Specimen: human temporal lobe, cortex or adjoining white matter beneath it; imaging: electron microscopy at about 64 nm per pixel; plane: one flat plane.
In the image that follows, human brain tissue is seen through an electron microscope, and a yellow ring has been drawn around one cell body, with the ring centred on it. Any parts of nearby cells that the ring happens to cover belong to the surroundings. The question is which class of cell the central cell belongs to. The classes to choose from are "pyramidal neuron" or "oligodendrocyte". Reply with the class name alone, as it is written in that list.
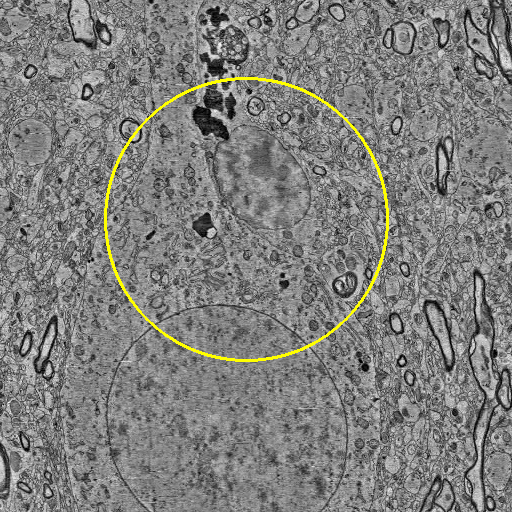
oligodendrocyte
